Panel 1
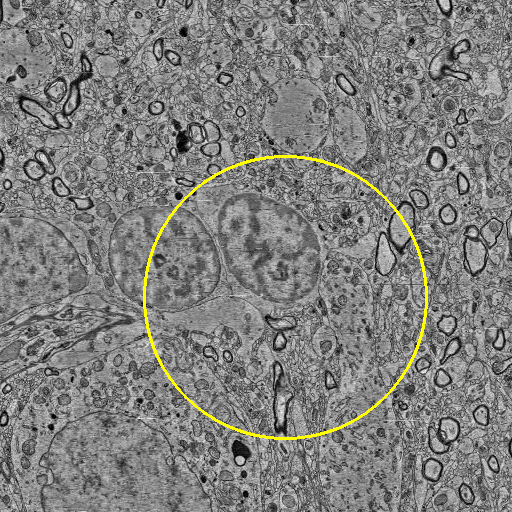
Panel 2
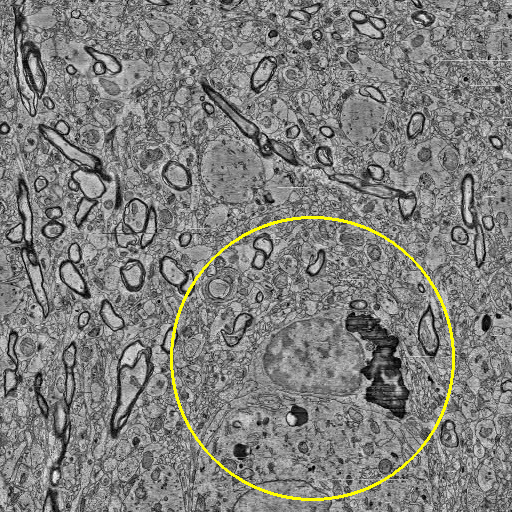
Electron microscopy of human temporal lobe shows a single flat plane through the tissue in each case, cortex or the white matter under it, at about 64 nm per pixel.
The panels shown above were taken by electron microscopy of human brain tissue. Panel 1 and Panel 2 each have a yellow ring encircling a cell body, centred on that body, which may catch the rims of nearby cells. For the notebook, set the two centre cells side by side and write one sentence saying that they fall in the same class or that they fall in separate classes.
The centred cells of Panel 1 and Panel 2 fall in the same class.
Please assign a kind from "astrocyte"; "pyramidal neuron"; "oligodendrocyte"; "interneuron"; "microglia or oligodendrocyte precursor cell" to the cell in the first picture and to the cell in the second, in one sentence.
Each one of the two ringed cells is an oligodendrocyte.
